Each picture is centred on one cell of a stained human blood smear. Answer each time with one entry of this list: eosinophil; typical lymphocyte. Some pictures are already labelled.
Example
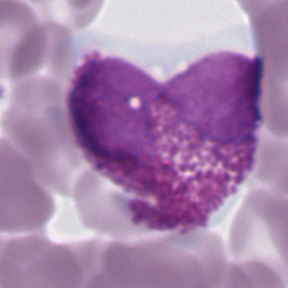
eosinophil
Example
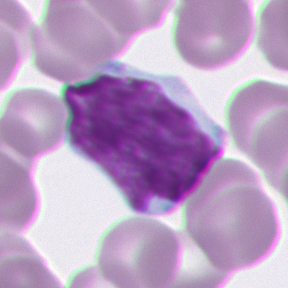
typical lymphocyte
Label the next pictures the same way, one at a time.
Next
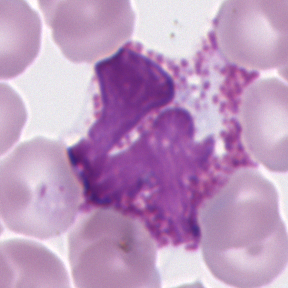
eosinophil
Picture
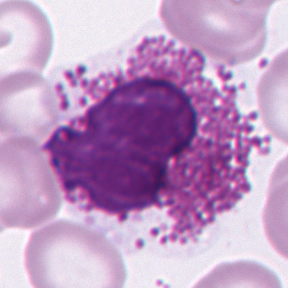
eosinophil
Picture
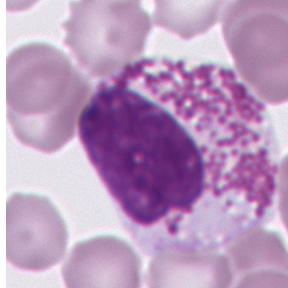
eosinophil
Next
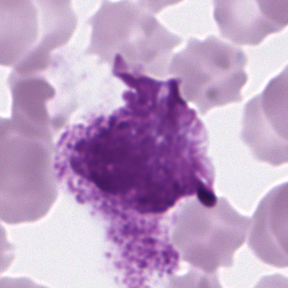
eosinophil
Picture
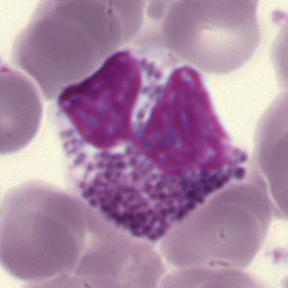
eosinophil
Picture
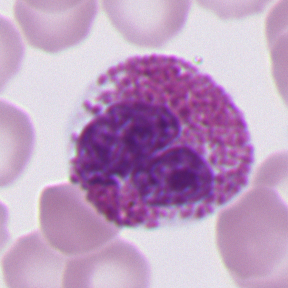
eosinophil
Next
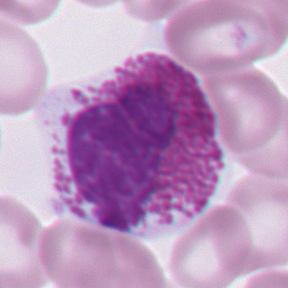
eosinophil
